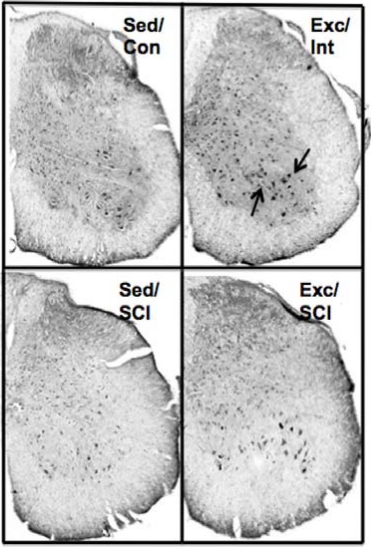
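Four transverse hemisections of spinal cord. In some sections, scattered darkly labelled neuronal cell bodies lie in the ventral horn, where motoneurons sit. The density of these dark cell bodies differs from section to section.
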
